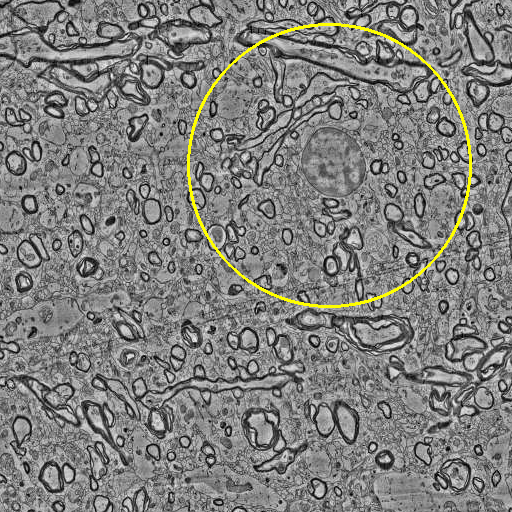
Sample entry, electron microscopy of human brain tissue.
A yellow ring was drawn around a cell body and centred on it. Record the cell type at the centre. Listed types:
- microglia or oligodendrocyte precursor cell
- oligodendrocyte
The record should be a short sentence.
The cell at the ring's centre is a microglial cell or oligodendrocyte precursor cell.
